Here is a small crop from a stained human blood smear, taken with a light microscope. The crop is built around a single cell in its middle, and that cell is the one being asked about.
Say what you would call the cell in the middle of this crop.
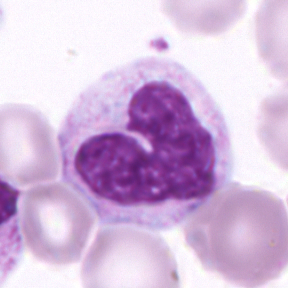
band neutrophil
